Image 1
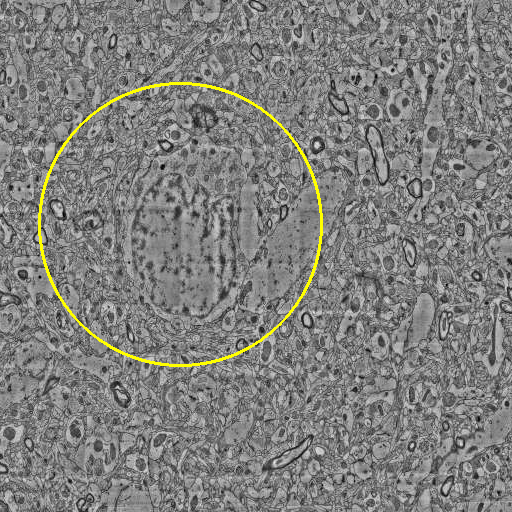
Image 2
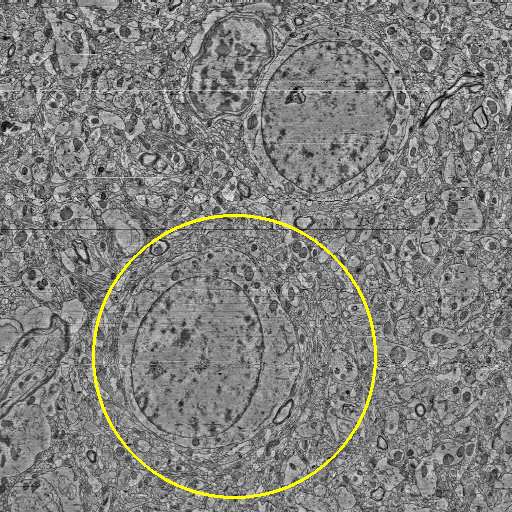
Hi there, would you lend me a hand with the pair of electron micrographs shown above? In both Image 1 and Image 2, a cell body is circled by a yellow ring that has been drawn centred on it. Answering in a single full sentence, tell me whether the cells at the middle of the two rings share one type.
No, the ringed cells in Image 1 and Image 2 belong to two types.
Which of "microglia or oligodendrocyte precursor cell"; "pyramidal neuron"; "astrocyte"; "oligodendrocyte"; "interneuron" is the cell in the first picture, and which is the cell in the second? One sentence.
The two differ: the first cell is an interneuron and the second is a pyramidal neuron.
